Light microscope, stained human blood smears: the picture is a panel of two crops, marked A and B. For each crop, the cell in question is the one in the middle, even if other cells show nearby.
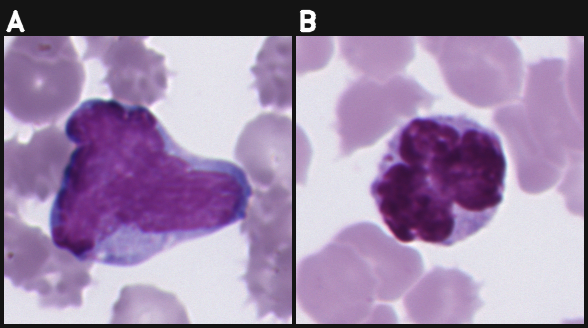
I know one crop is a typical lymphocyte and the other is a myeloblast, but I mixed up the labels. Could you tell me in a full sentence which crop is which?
What crop A shows is a myeloblast, and what crop B shows is a typical lymphocyte.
